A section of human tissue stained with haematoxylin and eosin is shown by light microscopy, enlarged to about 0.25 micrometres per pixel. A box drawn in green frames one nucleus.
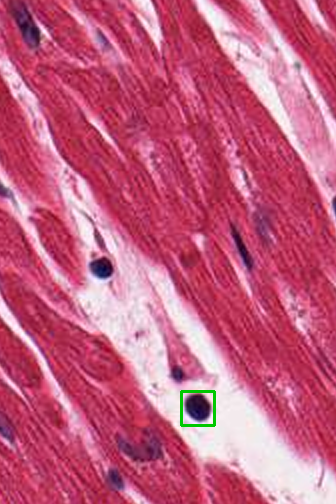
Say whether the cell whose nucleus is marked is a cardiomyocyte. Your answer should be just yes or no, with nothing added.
no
